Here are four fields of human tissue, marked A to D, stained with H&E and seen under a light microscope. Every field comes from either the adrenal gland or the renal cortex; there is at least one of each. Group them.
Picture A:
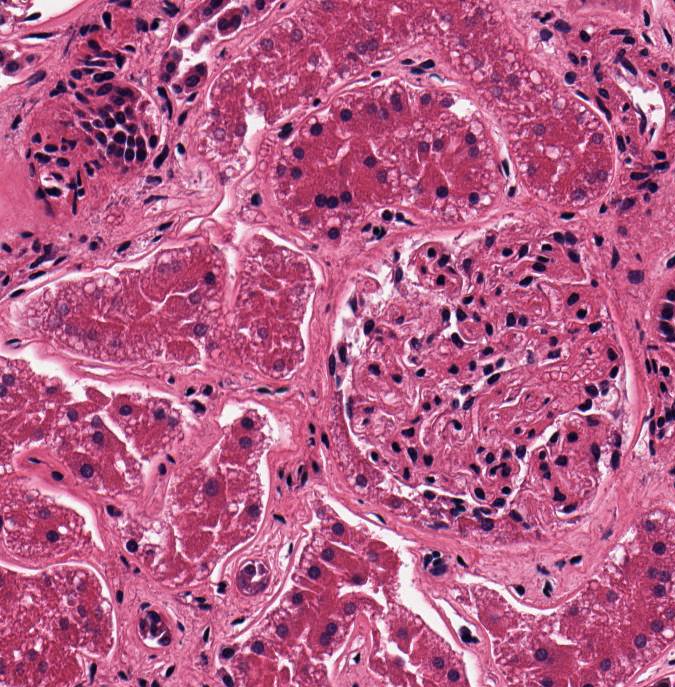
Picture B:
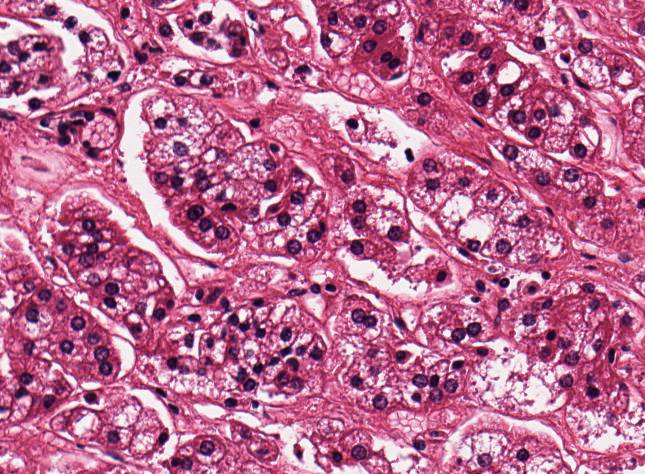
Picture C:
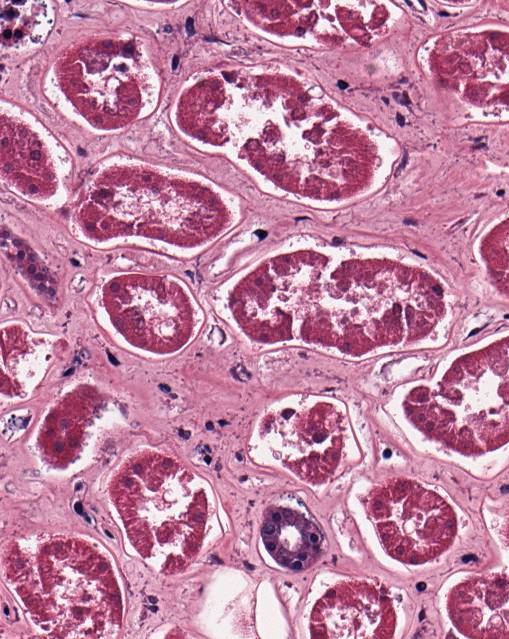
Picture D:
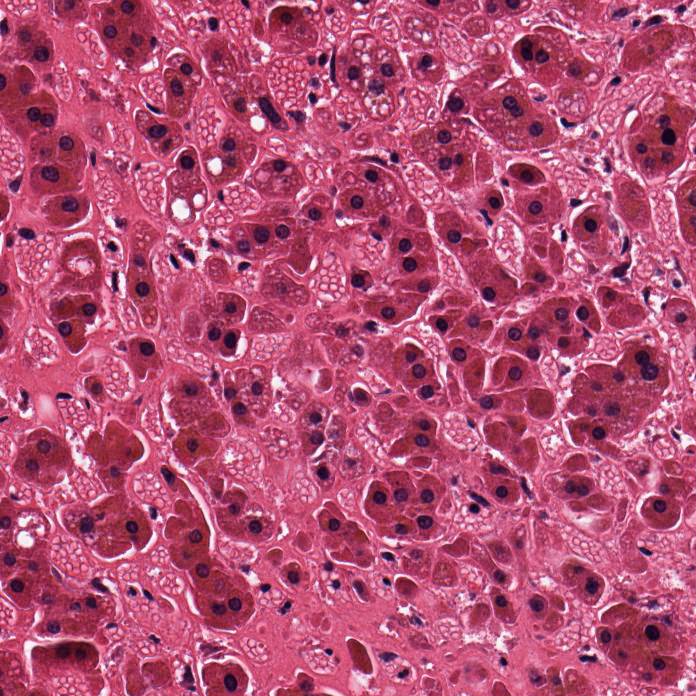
A: renal cortex
B: adrenal gland
C: renal cortex
D: adrenal gland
